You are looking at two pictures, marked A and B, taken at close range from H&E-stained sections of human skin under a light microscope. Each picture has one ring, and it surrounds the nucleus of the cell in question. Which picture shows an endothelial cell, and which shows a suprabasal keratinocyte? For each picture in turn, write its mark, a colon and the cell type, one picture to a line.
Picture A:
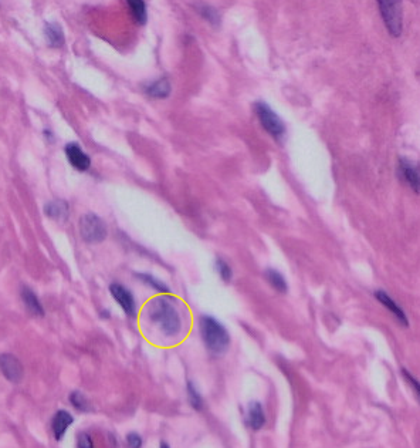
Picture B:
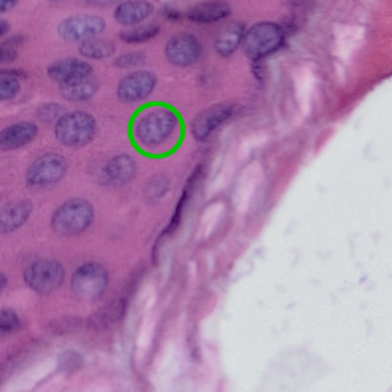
A: endothelial cell
B: suprabasal keratinocyte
